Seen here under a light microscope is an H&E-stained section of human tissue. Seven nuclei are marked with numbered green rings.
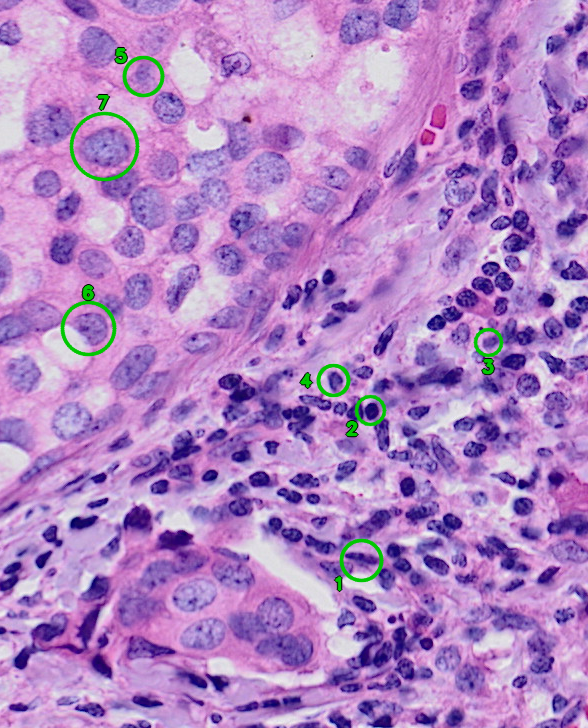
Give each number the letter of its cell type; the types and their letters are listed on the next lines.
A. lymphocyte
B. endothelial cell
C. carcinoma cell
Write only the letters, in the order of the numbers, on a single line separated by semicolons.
A; A; A; A; C; C; C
